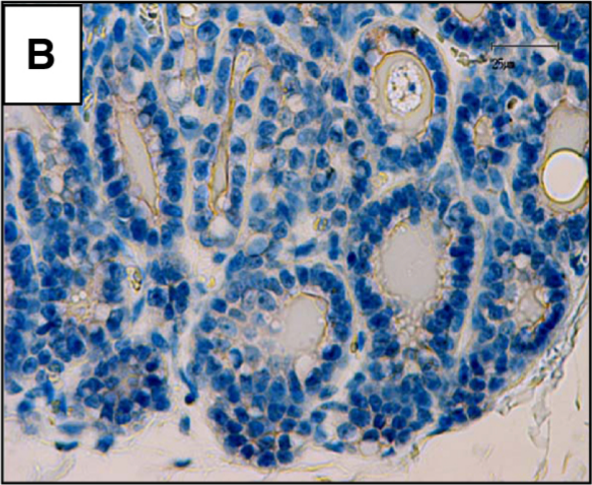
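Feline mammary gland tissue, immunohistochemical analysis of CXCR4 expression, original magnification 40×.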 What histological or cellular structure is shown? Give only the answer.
acini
